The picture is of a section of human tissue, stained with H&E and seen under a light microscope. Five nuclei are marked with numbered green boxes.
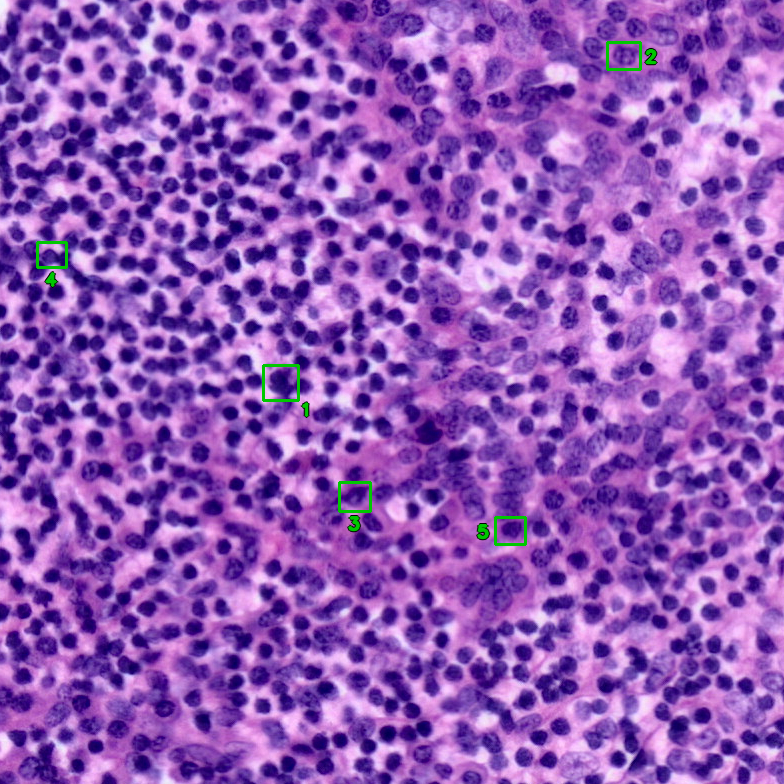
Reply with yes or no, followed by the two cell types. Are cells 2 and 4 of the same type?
No, cell 2 is interpreted as a plasma cell, and cell 4 is interpreted as a small lymphocyte.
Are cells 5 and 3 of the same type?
Yes, the numbered cells 5 and 3 are both plasma cells.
